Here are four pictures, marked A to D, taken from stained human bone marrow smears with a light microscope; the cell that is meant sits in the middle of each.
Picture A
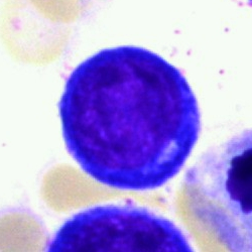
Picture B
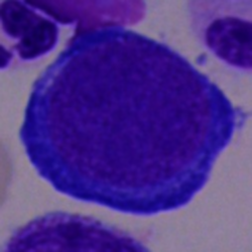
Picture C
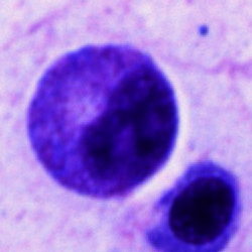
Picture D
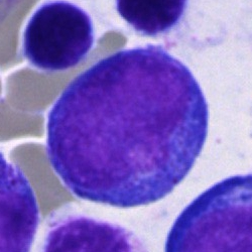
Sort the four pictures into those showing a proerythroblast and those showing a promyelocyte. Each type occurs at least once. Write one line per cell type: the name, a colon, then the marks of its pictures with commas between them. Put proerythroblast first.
proerythroblast: A, B, D
promyelocyte: C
